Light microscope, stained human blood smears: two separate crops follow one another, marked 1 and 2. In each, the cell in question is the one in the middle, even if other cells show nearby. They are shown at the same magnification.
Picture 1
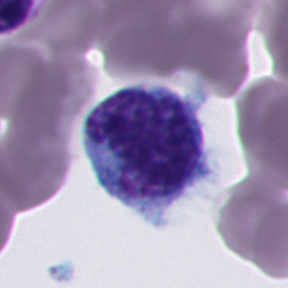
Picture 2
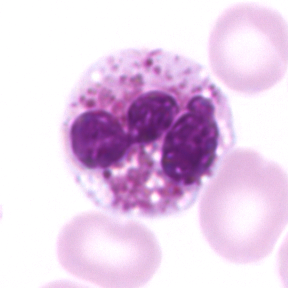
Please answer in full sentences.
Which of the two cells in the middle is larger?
Picture 2 holds the larger cell; it covers about 1.5 times the area of the cell in picture 1.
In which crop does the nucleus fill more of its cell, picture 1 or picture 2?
Of the two, the nucleus in picture 1 makes up the greater part of its cell.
